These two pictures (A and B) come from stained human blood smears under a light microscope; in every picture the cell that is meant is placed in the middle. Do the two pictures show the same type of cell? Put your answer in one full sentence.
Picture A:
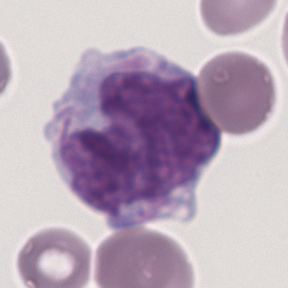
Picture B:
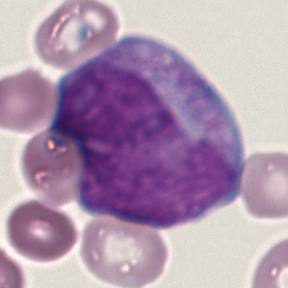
Yes; the cells in both pictures are atypical promyelocytes.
